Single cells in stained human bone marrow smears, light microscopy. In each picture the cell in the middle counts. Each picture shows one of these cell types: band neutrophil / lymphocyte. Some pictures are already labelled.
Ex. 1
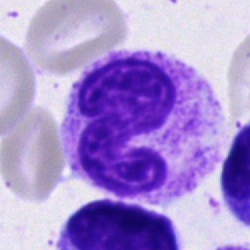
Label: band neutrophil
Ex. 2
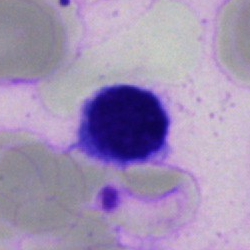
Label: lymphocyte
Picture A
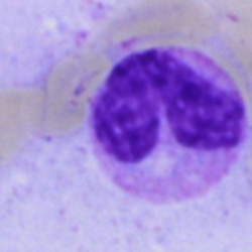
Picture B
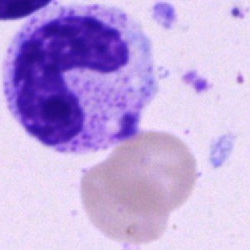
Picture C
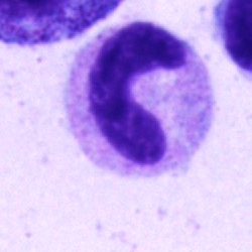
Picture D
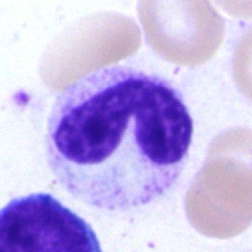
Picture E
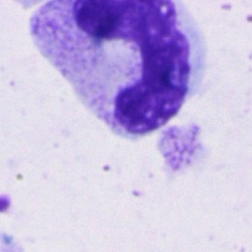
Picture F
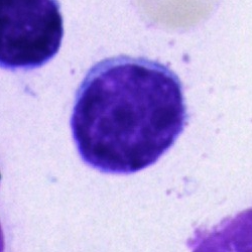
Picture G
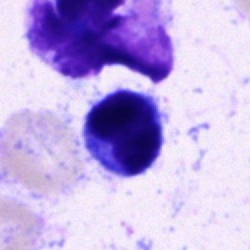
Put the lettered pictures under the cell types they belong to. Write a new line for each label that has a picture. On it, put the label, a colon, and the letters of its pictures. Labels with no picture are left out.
band neutrophil: A, B, C, D, E
lymphocyte: F, G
